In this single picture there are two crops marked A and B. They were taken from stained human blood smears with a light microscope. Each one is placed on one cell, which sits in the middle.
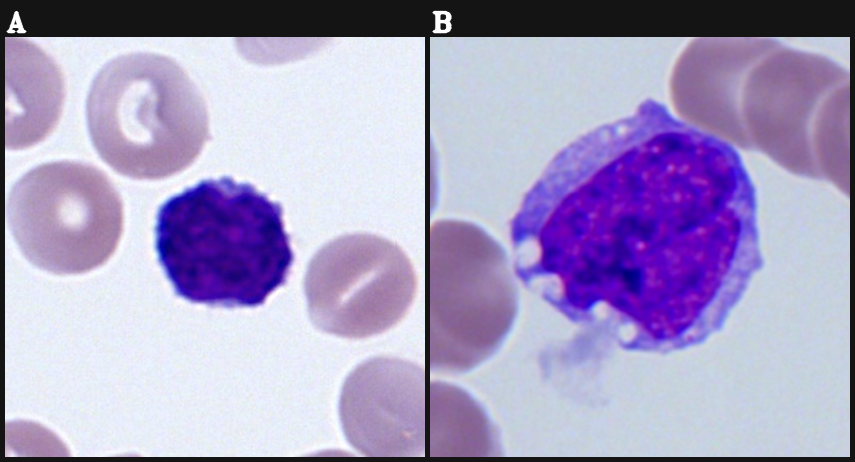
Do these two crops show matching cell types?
no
